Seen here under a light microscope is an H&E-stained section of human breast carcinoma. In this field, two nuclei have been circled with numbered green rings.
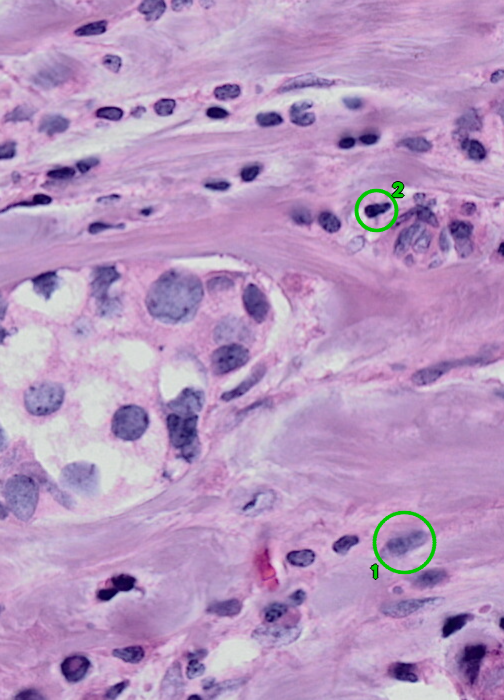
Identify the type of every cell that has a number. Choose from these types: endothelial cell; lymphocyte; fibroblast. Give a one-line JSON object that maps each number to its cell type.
{"1": "fibroblast", "2": "lymphocyte"}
